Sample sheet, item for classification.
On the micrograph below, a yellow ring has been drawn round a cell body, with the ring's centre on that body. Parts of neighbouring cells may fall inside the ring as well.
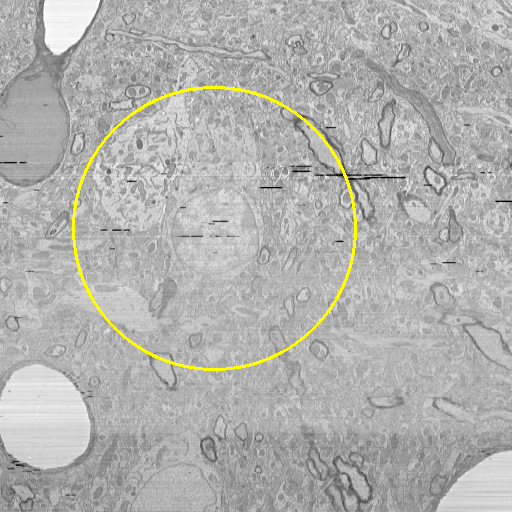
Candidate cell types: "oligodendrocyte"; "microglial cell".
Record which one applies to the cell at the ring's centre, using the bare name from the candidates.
oligodendrocyte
